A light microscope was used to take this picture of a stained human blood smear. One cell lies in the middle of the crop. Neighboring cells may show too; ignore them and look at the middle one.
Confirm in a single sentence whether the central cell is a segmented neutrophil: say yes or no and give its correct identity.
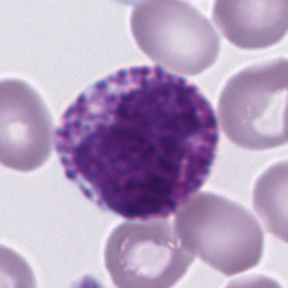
No, a basophil, not a segmented neutrophil, is what sits in the centre of the crop.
